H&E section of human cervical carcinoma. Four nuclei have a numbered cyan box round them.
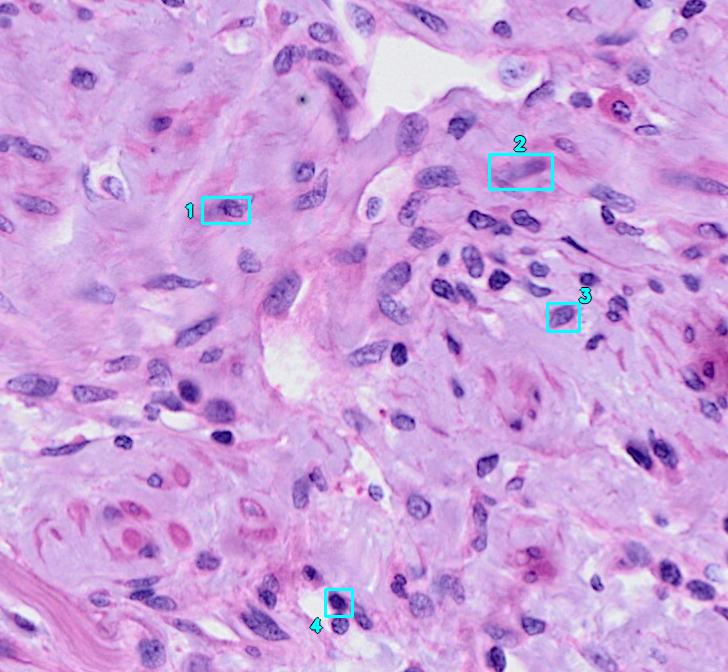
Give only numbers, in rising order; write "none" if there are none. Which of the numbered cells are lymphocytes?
4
